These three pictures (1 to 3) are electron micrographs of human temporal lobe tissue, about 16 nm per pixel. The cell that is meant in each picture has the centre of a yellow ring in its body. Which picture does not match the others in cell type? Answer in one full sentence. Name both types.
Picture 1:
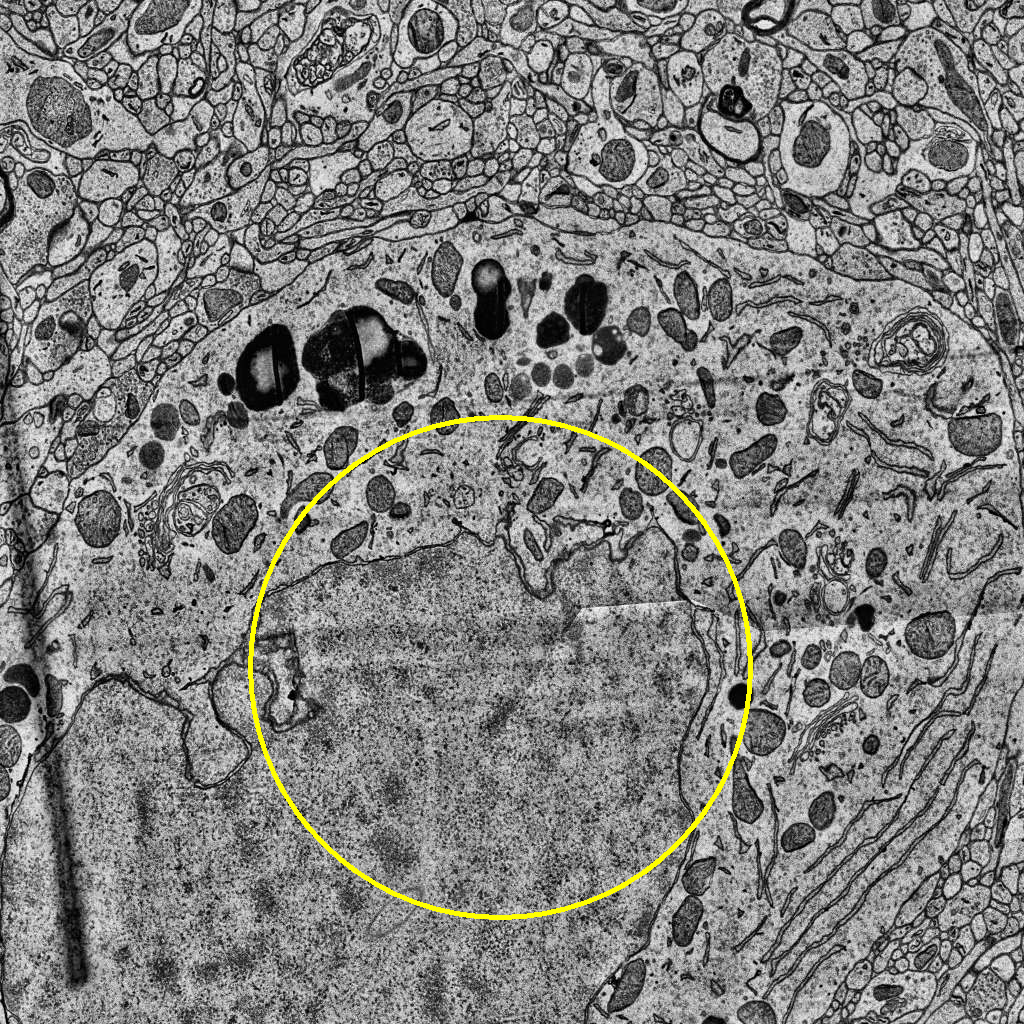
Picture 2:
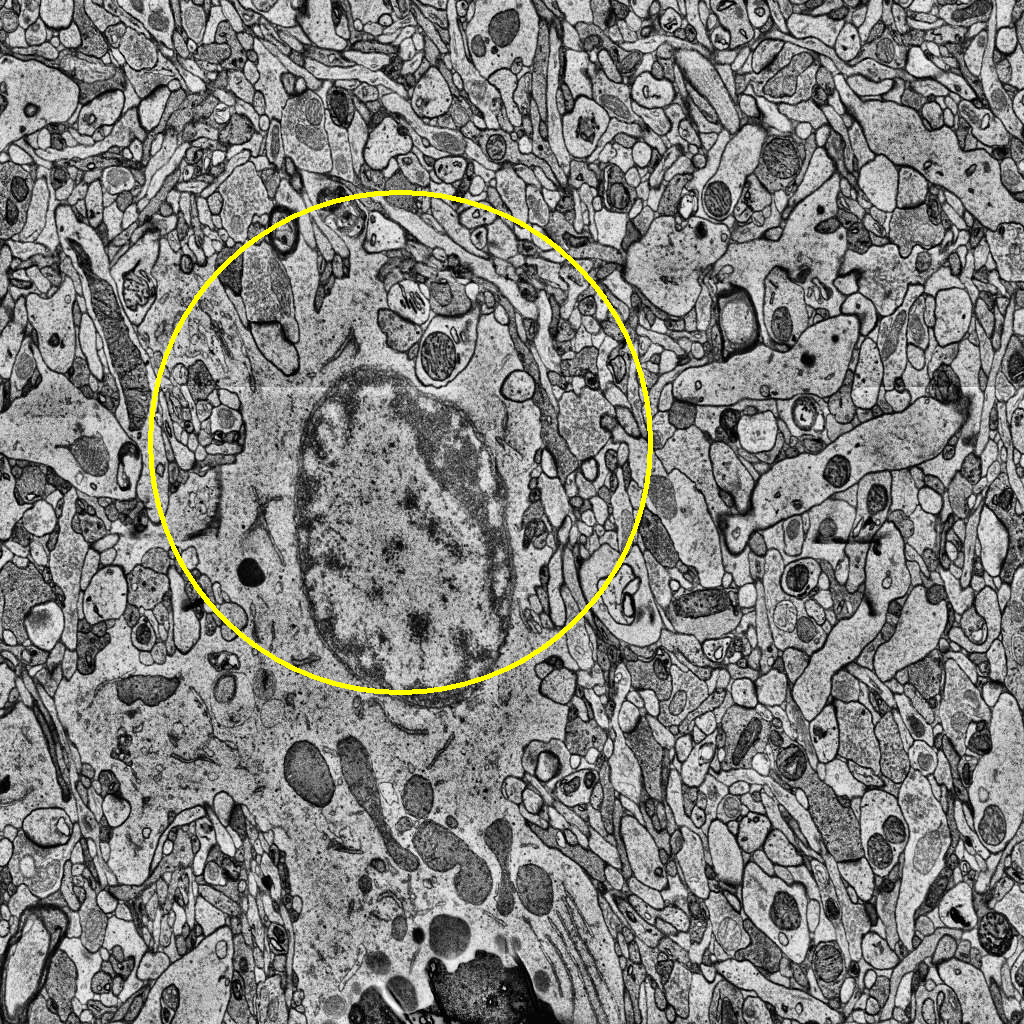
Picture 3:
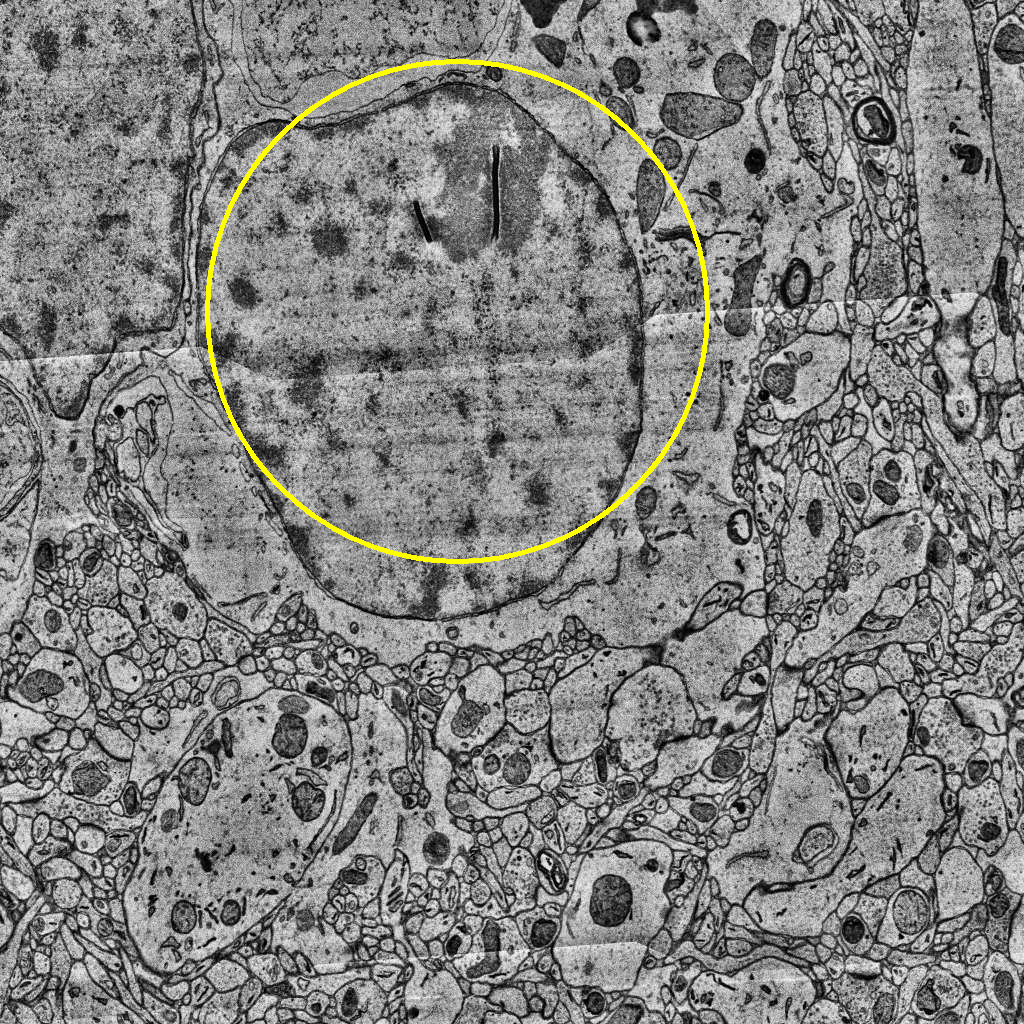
Unlike the rest, which show astrocytes, picture 1 shows an interneuron.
